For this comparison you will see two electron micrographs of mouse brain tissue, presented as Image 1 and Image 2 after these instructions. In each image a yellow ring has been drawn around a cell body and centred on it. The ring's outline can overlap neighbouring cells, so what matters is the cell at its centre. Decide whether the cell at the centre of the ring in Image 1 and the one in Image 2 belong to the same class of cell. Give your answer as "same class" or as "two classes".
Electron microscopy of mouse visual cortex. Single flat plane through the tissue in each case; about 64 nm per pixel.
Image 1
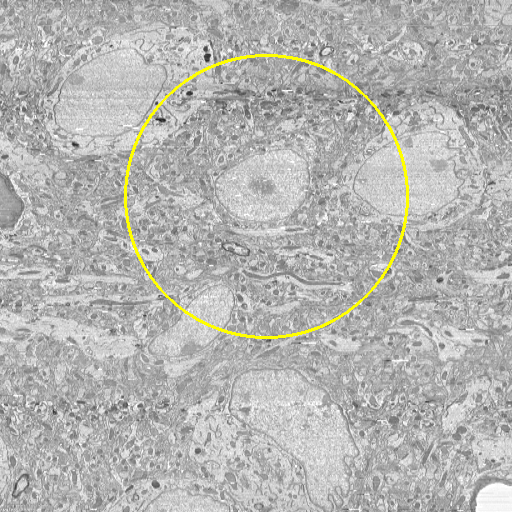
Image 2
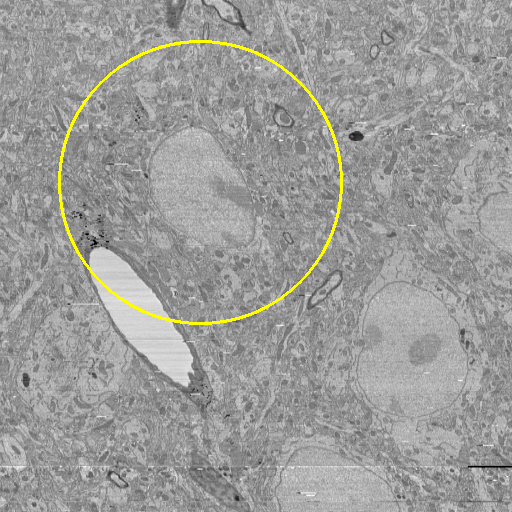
same class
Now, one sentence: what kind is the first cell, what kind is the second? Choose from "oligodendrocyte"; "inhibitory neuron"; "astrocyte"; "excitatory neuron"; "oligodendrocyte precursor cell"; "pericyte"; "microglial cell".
Both pictures show an astrocyte at the centre of the ring.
